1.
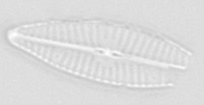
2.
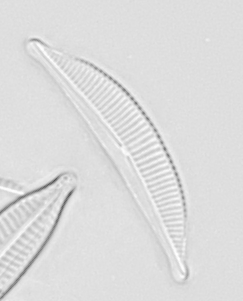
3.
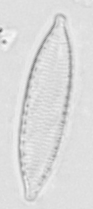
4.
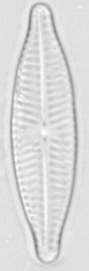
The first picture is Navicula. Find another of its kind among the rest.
Picture 4.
